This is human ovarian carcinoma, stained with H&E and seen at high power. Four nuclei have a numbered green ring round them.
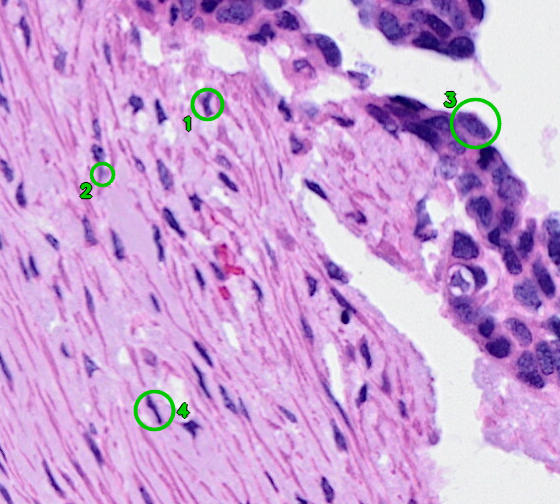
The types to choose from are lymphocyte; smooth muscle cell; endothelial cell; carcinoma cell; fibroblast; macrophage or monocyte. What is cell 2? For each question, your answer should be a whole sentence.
The marked nucleus 2 is that of a fibroblast.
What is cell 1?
The numeral 1 marks a fibroblast in this section.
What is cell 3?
Regarding cell 3, this one is a carcinoma cell.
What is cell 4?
Classified as a fibroblast is the cell with the number 4.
